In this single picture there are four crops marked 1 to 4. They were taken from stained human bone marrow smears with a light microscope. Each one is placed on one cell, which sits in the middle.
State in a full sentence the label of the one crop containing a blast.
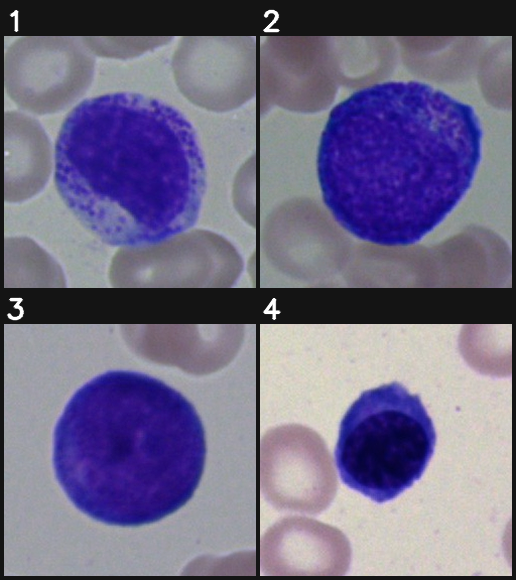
Crop 3 is the right one; it is the crop showing a blast.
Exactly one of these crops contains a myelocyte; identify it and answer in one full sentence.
Crop 1 is where a myelocyte is to be found.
